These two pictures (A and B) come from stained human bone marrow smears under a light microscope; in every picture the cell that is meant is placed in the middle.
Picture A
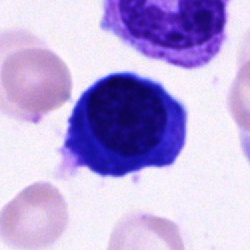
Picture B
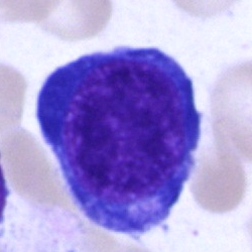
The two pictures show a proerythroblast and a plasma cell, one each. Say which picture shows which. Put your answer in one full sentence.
In picture A the cell is a plasma cell; in picture B, a proerythroblast.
